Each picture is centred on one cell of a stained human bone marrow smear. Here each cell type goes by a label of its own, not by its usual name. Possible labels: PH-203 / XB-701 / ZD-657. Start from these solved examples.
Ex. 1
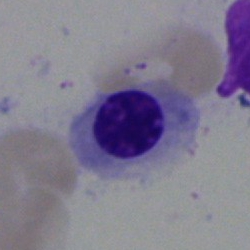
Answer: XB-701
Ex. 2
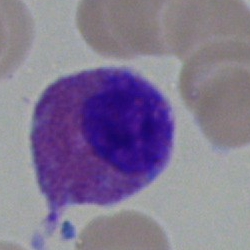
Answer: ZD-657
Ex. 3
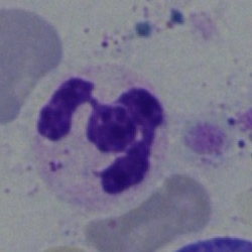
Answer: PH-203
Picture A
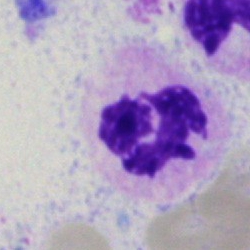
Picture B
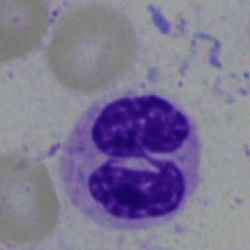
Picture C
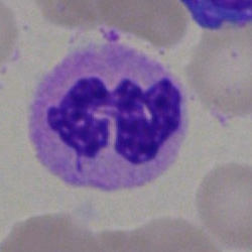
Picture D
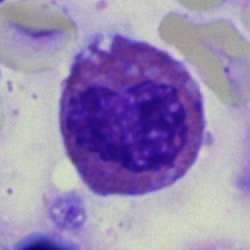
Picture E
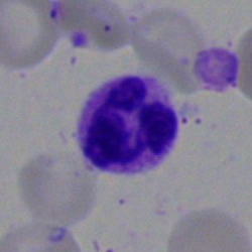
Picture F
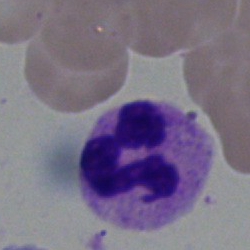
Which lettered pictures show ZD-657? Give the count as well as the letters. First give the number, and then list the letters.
Count: 1 (D)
